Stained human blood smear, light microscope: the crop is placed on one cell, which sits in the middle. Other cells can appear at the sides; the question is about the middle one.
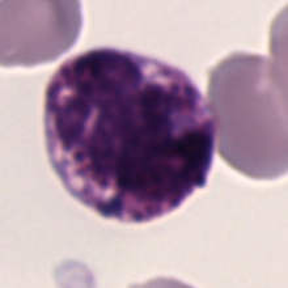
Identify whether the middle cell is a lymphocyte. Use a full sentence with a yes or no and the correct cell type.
No, the middle of the crop holds a basophil, not a lymphocyte.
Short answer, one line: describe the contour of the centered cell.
Nothing juts out from the margin, which is smooth throughout.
